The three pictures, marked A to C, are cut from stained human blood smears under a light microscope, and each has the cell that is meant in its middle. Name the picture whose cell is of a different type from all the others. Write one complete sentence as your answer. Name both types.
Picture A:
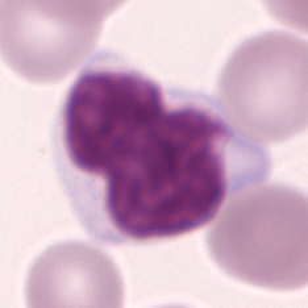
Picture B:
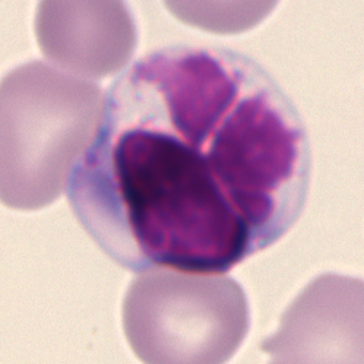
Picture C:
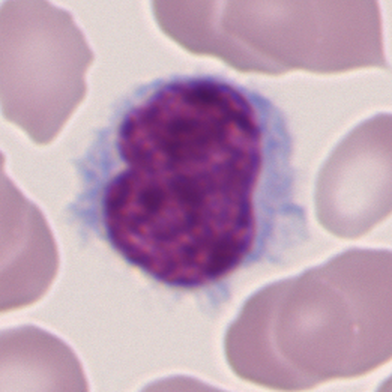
Picture C is the odd one out: it shows a hairy cell, while the others show large granular lymphocytes.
